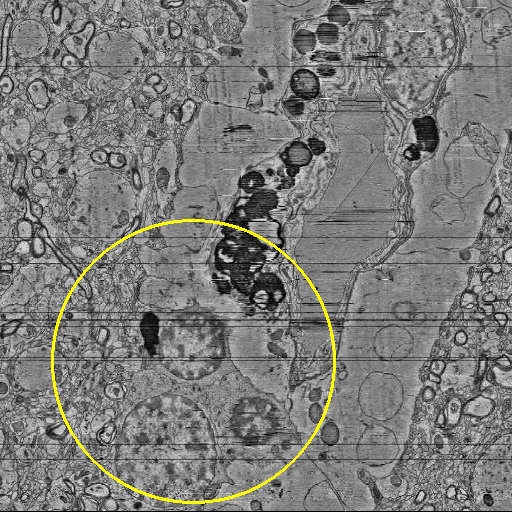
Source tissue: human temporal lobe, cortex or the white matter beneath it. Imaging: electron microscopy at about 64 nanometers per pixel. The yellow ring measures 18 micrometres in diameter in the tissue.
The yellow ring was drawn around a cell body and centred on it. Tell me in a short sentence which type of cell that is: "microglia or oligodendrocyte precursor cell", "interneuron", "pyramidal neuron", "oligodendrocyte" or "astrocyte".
The cell at the ring's centre is an oligodendrocyte.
